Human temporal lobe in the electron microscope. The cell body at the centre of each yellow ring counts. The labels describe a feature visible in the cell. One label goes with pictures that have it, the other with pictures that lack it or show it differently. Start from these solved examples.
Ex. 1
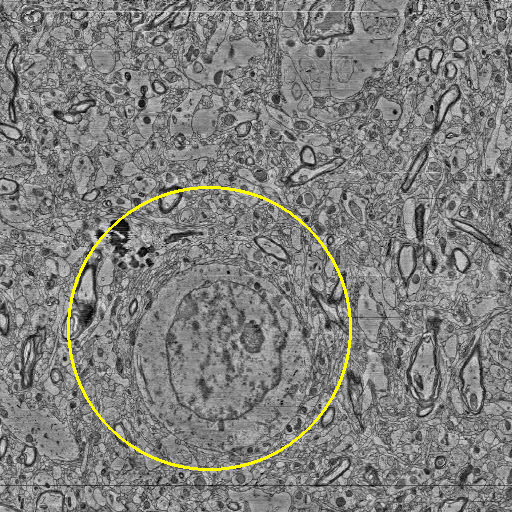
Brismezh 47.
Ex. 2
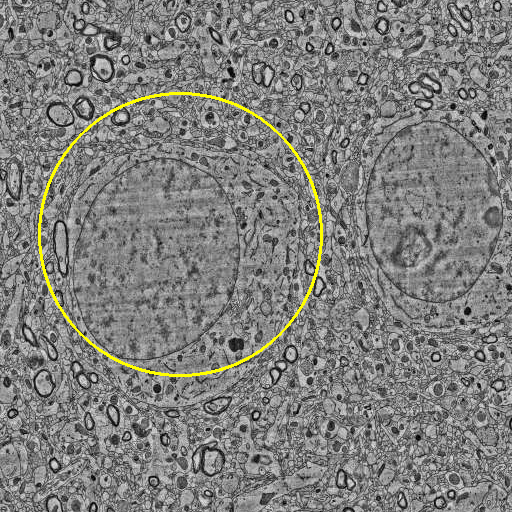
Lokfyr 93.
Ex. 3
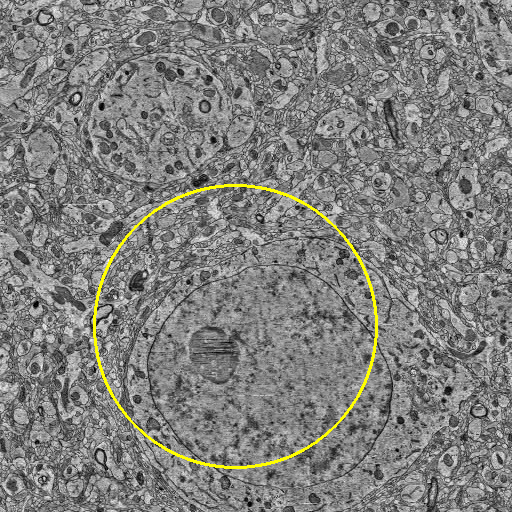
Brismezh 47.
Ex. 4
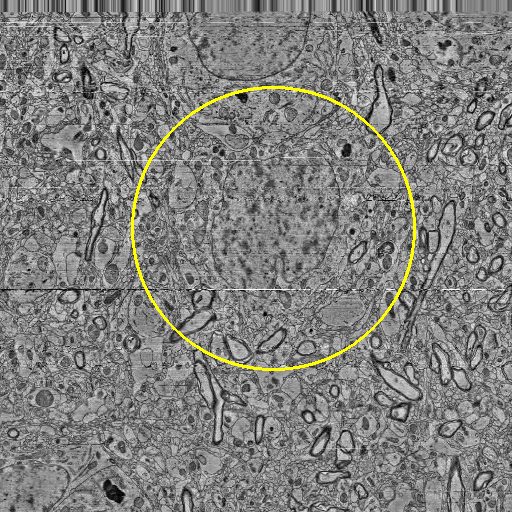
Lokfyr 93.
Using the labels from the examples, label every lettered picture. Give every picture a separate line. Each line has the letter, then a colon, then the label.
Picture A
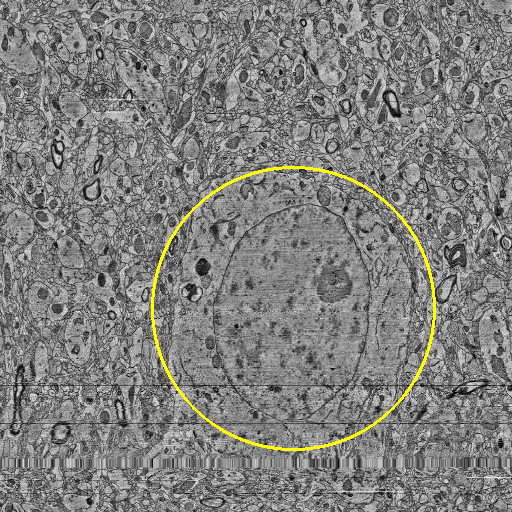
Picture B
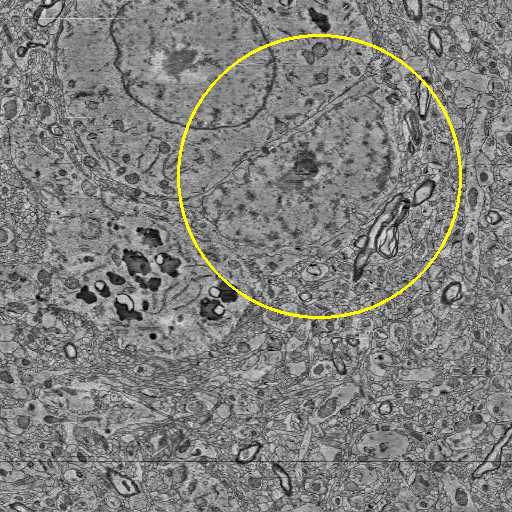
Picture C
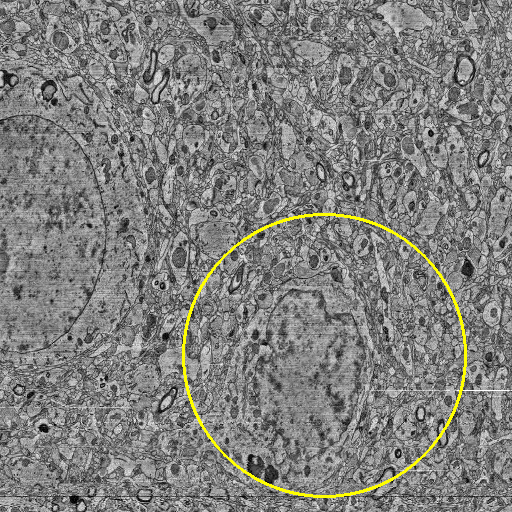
A: Brismezh 47.
B: Brismezh 47.
C: Lokfyr 93.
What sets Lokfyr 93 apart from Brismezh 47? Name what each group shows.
Lokfyr 93, no nucleolus seen; Brismezh 47, nucleolus seen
